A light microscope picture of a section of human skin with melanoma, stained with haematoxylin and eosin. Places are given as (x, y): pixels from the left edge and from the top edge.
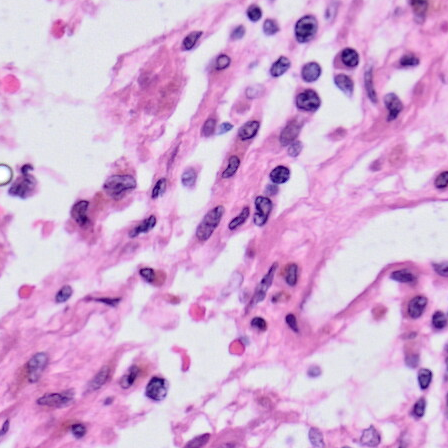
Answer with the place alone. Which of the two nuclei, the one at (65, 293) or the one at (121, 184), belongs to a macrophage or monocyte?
(121, 184)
